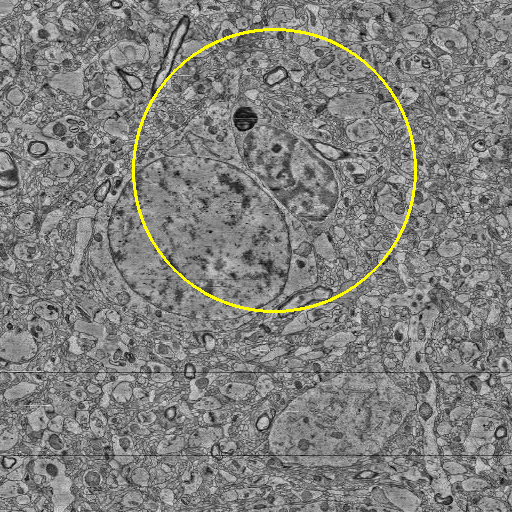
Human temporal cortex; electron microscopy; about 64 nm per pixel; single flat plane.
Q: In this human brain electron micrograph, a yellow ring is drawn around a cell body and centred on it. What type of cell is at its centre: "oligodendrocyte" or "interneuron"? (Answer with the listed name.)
oligodendrocyte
